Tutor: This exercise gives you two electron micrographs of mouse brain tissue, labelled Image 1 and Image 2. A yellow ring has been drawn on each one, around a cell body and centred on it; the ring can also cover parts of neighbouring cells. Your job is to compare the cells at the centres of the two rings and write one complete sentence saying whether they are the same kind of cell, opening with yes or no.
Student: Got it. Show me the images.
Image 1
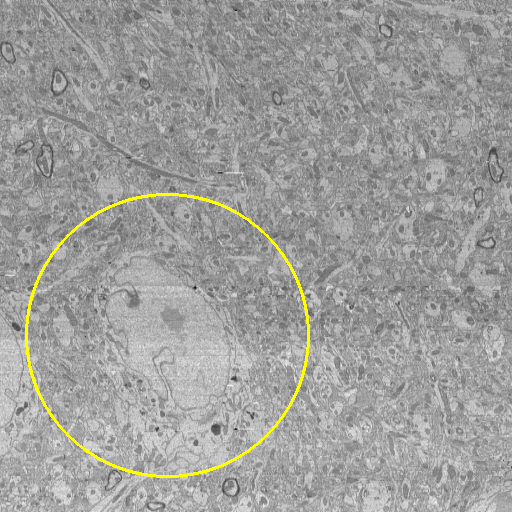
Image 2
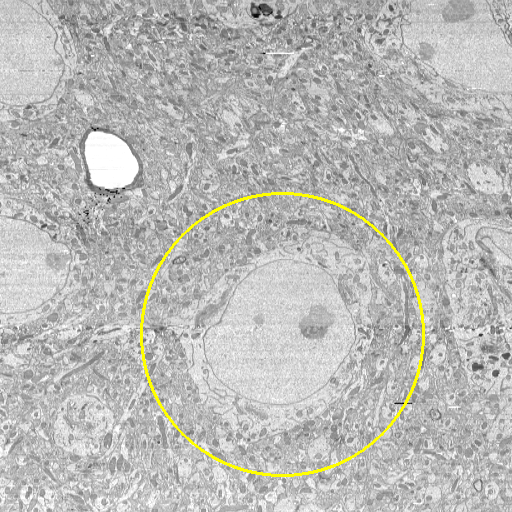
No, the two cells belong to two kinds.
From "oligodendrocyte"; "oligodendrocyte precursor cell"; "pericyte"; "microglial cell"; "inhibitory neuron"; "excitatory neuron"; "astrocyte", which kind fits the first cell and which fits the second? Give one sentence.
The cell marked in the first picture is an inhibitory neuron, and the one marked in the second is an excitatory neuron.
